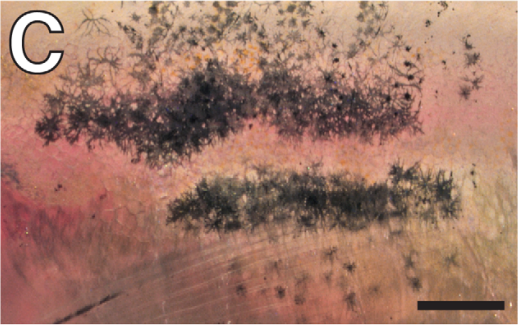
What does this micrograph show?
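Many star-shaped dark cells with branching processes crowd together in two dense horizontal bands. Between the bands lies a paler zone with a pinkish-orange and yellowish cast and few dark cells. Outside the bands, single star-shaped dark cells lie scattered here and there.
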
